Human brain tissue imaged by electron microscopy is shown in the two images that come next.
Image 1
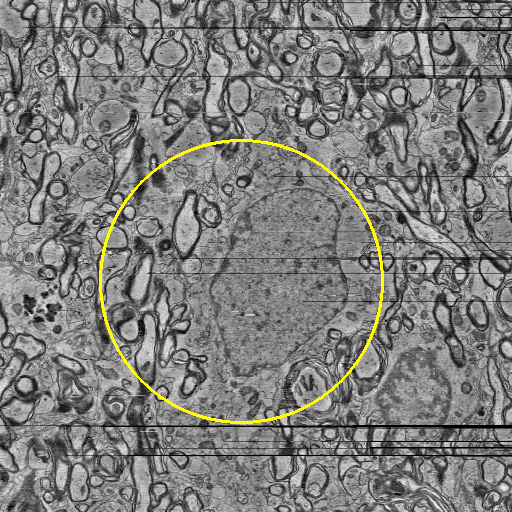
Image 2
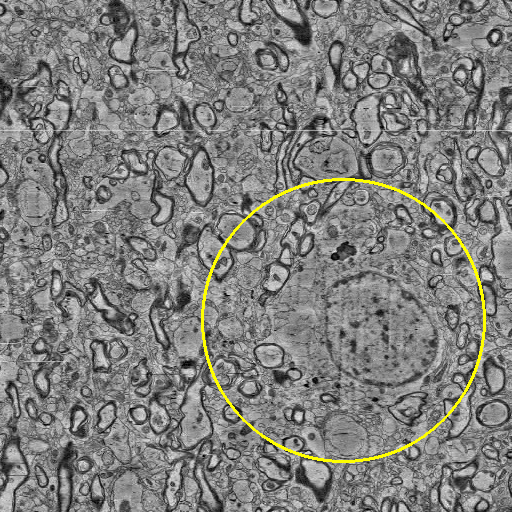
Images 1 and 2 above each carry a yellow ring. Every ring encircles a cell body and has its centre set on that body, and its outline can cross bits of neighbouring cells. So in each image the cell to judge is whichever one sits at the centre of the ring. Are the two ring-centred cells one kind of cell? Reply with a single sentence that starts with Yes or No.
Yes, in Image 1 and Image 2 the cells at the centres of their rings fall into one type.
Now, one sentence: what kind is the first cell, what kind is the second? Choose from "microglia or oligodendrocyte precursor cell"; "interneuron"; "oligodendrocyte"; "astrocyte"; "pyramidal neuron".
In the first picture and in the second, the ring is centred on an astrocyte.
